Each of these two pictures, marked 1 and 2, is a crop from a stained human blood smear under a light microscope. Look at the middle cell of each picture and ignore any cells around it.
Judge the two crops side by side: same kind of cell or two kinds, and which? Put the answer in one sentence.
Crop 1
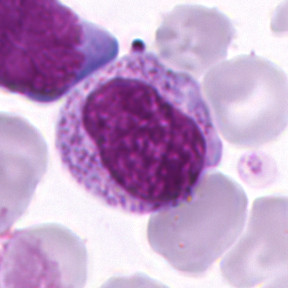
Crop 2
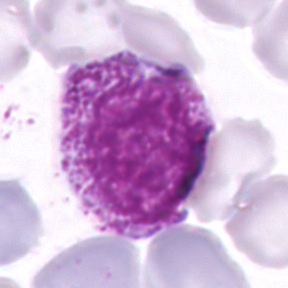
No, shown in crop 1 is a metamyelocyte, and shown in crop 2 is a myelocyte.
